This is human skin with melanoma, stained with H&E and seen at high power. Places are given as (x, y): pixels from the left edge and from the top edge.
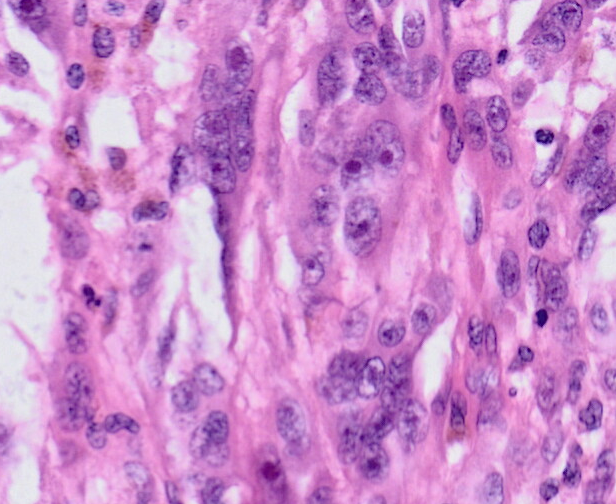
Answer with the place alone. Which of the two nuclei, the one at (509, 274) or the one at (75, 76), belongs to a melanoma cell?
(509, 274)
